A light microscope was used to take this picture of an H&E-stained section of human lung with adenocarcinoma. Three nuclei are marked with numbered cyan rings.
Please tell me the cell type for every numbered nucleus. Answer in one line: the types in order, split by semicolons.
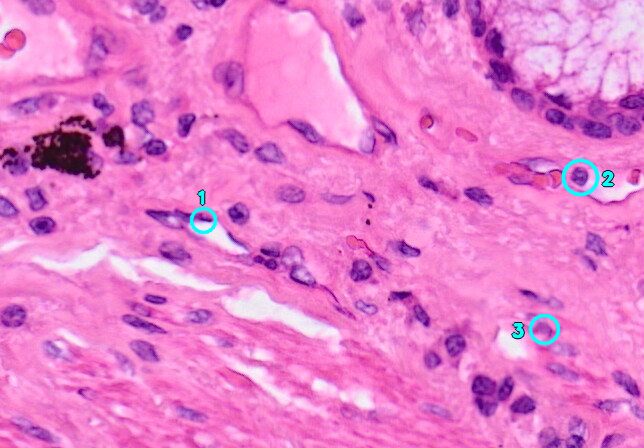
endothelial cell; lymphocyte; smooth muscle cell or pericyte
